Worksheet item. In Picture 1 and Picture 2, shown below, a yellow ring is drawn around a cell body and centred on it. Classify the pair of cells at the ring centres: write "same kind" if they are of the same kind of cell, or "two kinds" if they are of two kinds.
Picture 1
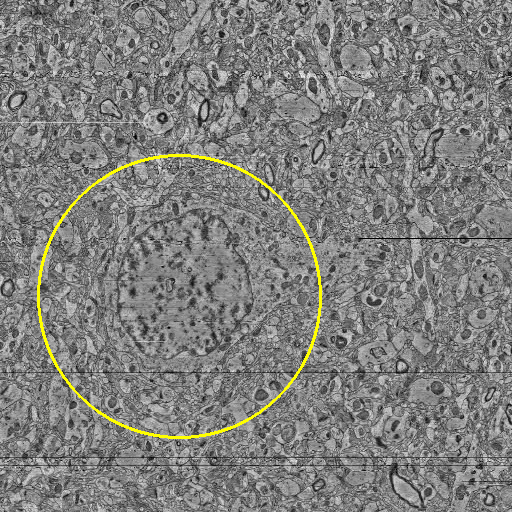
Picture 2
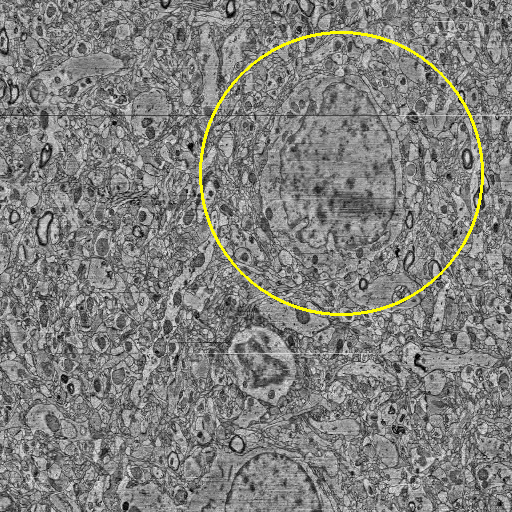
same kind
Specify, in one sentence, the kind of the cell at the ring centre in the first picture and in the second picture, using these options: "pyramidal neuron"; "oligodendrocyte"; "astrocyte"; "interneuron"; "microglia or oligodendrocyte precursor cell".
Each of the two rings surrounds an interneuron.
